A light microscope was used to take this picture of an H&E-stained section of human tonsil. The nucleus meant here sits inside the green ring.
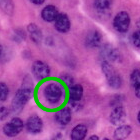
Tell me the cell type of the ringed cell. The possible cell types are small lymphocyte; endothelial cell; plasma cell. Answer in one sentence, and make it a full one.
The identity of the ringed cell: it is a plasma cell.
